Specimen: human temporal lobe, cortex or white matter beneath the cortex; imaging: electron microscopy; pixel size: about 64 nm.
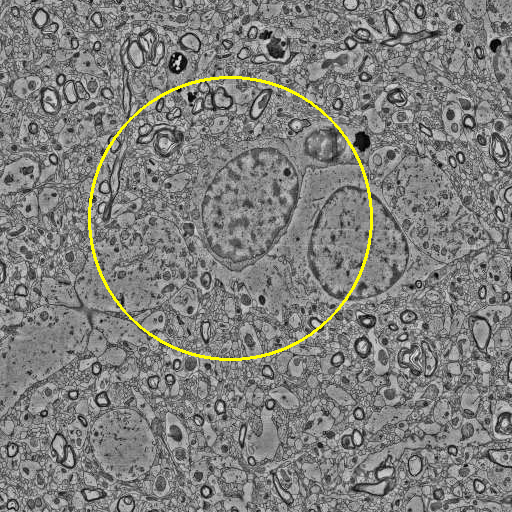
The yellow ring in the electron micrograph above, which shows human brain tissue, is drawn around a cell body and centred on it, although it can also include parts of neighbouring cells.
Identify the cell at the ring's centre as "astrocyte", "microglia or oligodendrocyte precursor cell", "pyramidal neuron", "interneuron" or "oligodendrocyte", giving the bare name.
oligodendrocyte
